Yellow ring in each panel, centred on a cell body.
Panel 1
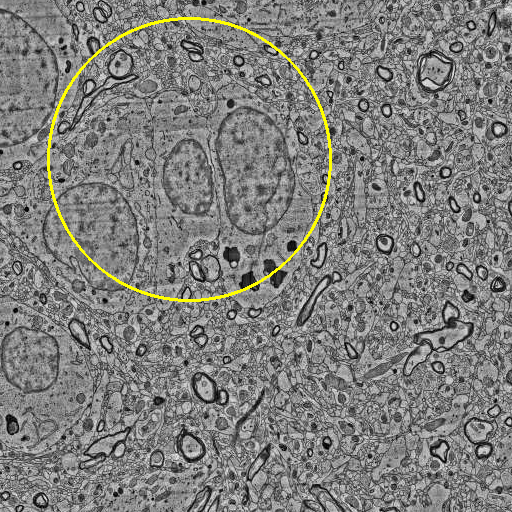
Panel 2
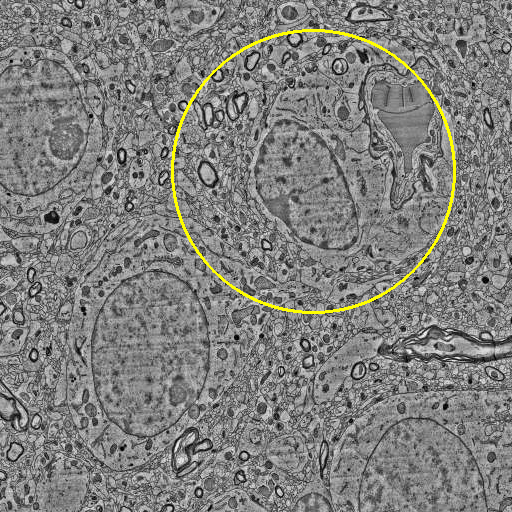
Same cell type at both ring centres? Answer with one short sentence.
Yes, both cells are of the same type.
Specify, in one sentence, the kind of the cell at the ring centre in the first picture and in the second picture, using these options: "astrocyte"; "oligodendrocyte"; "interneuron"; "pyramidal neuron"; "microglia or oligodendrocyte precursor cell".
Each of the ringed cells, first and second, is a microglial cell or oligodendrocyte precursor cell.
